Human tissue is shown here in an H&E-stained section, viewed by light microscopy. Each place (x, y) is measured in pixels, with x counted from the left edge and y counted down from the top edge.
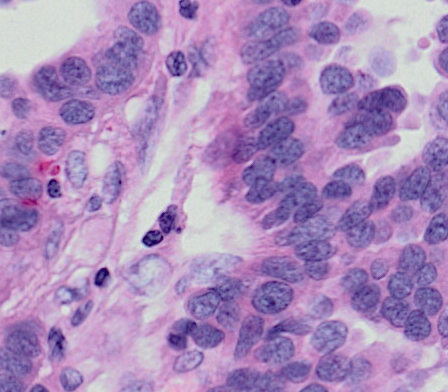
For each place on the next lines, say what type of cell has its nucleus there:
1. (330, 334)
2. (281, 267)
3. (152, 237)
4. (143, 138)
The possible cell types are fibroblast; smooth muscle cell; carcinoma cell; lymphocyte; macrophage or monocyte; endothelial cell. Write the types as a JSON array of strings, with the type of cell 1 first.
["carcinoma cell", "carcinoma cell", "lymphocyte", "fibroblast"]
